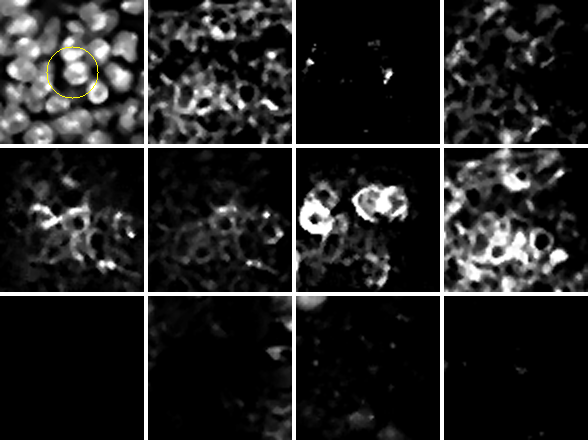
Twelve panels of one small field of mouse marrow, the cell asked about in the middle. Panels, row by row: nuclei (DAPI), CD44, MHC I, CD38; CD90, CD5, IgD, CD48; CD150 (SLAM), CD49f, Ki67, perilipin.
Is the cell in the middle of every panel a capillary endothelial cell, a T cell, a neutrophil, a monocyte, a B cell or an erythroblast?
It is a B cell.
